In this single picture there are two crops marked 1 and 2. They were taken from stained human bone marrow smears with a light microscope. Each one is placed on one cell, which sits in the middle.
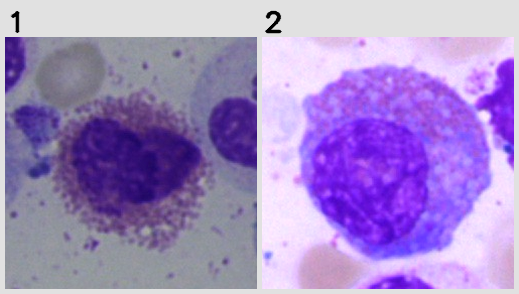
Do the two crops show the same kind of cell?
yes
